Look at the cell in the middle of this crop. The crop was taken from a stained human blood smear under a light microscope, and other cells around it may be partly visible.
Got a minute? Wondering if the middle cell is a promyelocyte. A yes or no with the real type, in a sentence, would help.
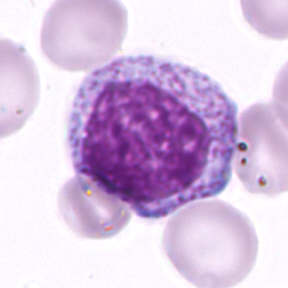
No, the central cell is designated a myelocyte and not a promyelocyte.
